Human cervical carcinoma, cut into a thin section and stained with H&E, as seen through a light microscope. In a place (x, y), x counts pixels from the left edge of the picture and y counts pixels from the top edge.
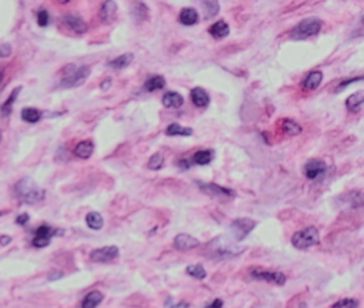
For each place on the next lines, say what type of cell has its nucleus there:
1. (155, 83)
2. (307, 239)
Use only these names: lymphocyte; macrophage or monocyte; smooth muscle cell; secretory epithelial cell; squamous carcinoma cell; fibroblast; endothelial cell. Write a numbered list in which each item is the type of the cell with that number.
1. lymphocyte
2. macrophage or monocyte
